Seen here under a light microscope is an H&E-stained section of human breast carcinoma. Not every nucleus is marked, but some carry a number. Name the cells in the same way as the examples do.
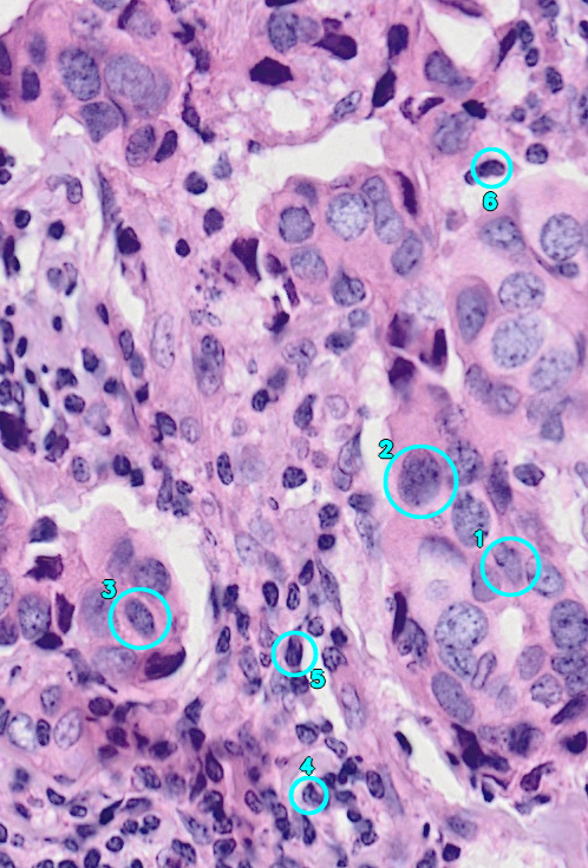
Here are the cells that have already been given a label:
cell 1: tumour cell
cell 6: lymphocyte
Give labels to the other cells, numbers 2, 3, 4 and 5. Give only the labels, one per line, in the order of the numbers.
tumour cell
tumour cell
lymphocyte
lymphocyte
